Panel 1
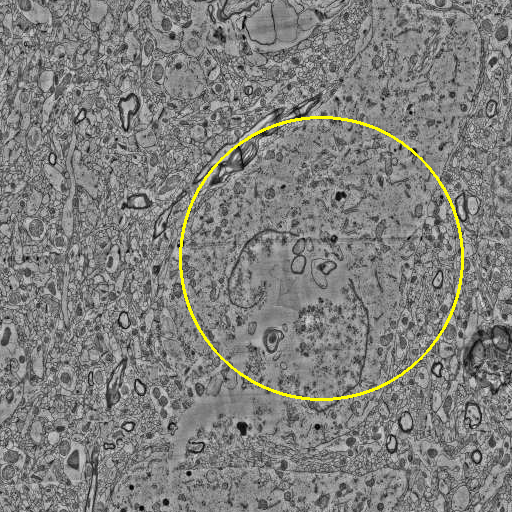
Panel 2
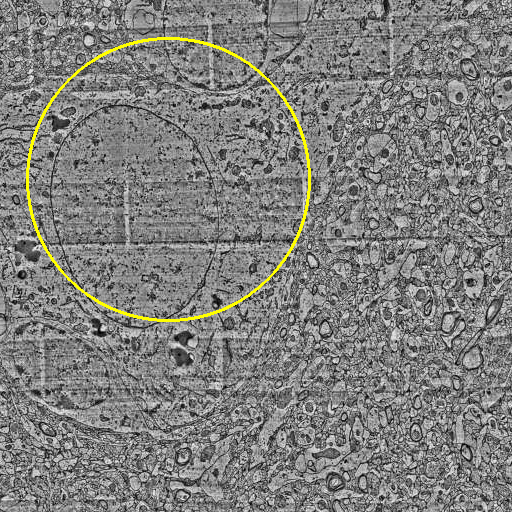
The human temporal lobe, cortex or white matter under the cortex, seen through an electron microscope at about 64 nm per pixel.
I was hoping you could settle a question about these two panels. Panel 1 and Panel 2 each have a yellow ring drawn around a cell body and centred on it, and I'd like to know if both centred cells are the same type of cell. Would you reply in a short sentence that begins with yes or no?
Yes, both are the same type of cell.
